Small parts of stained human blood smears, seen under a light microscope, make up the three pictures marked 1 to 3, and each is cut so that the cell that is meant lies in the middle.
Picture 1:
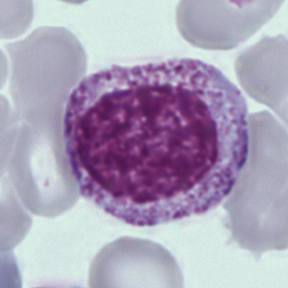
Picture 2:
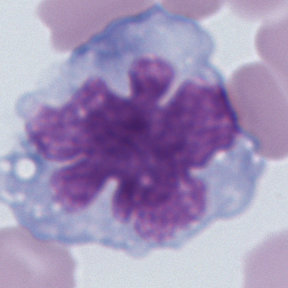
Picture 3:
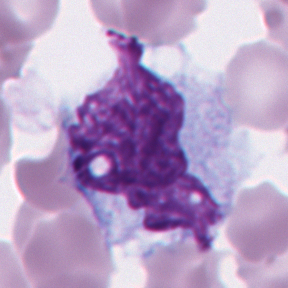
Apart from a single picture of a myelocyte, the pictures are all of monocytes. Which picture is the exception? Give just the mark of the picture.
1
